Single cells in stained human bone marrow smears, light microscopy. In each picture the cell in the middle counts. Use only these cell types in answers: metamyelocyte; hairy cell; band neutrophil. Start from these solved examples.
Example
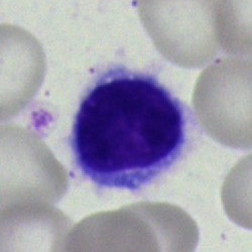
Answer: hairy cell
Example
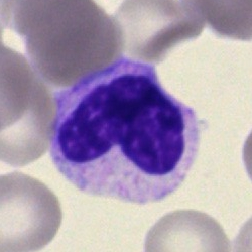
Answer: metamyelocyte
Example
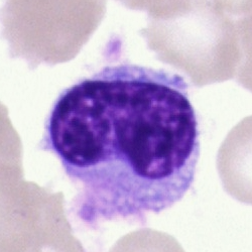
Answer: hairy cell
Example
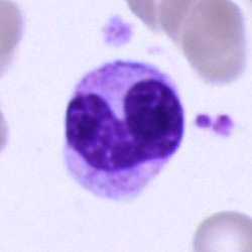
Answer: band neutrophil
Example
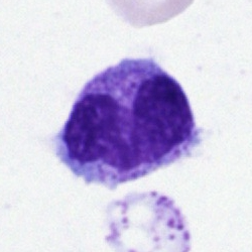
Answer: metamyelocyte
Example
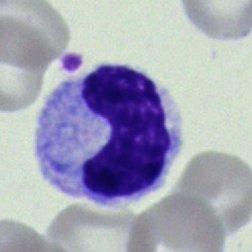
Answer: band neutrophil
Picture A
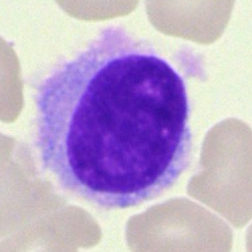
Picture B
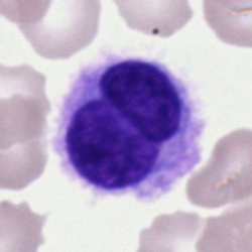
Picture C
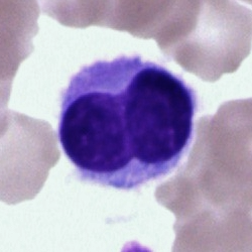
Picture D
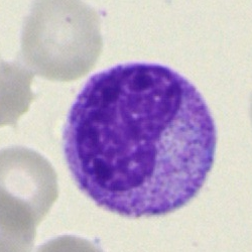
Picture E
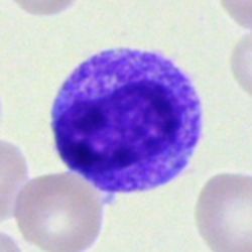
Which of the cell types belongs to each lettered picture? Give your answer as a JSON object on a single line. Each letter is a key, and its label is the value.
{"A": "hairy cell", "B": "hairy cell", "C": "hairy cell", "D": "metamyelocyte", "E": "metamyelocyte"}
